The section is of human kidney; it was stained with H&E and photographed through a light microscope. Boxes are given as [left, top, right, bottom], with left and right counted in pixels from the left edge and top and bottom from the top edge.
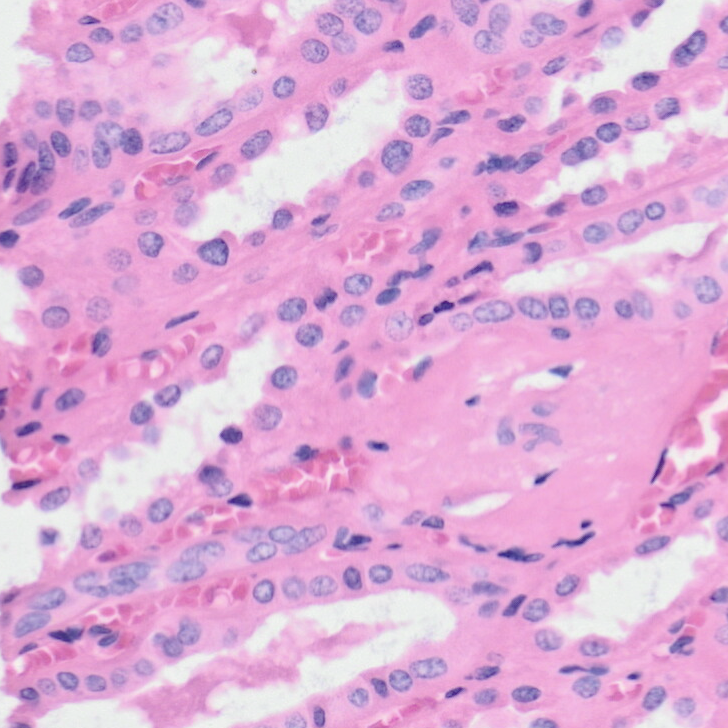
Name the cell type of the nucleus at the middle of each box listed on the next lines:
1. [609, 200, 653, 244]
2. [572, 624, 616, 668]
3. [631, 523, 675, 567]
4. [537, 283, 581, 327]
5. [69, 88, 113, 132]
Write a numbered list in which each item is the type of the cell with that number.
1. collecting duct cell
2. loop of Henle or distal tubule cell
3. loop of Henle or distal tubule cell
4. collecting duct cell
5. collecting duct cell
